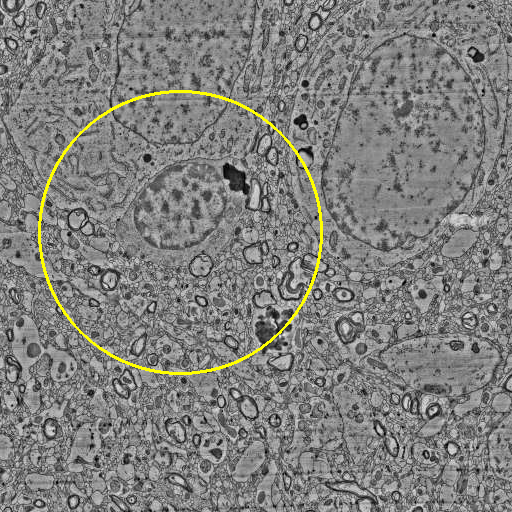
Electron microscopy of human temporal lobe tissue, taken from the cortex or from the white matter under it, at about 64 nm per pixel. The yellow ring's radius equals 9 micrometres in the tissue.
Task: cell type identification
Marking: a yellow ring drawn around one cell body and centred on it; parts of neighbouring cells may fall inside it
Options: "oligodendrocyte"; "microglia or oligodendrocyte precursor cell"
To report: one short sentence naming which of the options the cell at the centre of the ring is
The cell at the centre of the ring is an oligodendrocyte.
